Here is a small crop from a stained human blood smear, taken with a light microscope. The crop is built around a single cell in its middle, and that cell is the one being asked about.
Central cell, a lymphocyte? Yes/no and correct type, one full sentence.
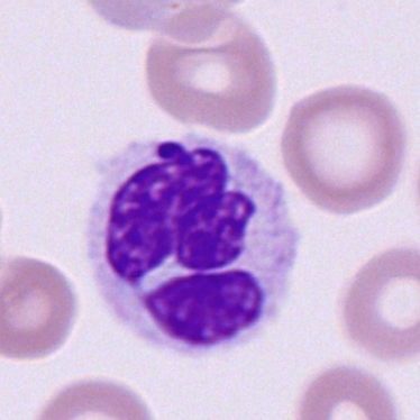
No, the central cell is counted as a monocyte instead of a lymphocyte.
